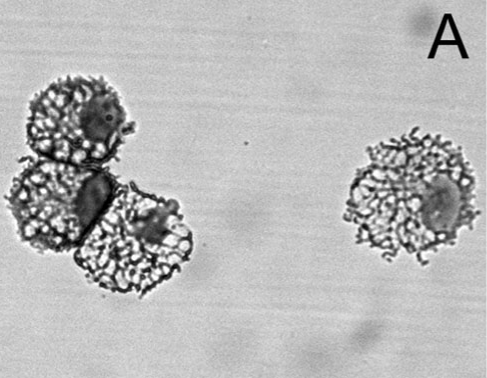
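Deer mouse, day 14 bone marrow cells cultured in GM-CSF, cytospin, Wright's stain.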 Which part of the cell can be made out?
Cytoplasmic vesicles.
